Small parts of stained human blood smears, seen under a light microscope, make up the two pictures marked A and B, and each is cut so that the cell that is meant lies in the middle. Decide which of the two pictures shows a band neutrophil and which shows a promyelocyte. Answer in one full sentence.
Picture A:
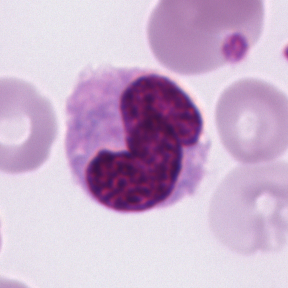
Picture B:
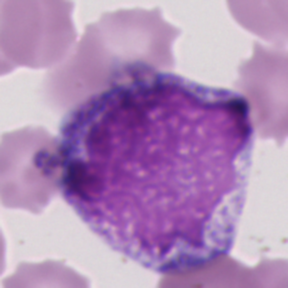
In picture A the cell is a band neutrophil; in picture B, a promyelocyte.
